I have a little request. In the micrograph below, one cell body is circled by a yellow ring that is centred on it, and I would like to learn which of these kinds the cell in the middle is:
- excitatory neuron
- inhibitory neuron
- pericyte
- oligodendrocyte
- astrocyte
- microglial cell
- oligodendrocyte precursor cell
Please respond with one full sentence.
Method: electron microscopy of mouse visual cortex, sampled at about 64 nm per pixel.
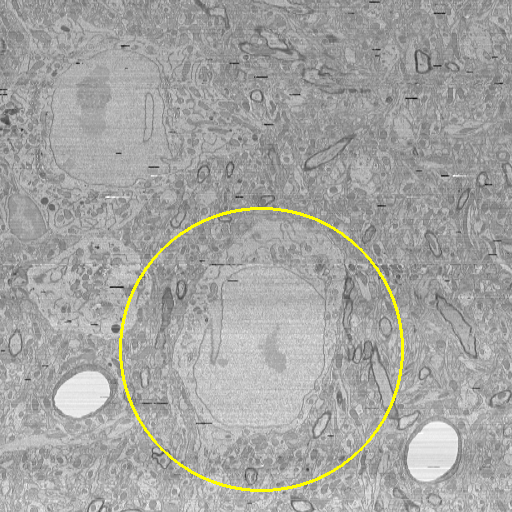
The cell sitting in the middle of the yellow ring in the micrograph is an excitatory neuron.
